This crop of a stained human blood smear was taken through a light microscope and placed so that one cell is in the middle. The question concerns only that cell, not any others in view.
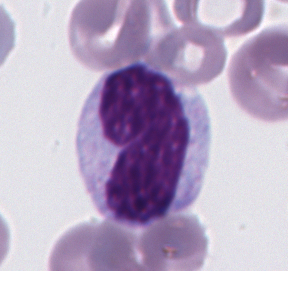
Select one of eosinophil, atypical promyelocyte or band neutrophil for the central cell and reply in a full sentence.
Centred in the crop is a band neutrophil.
